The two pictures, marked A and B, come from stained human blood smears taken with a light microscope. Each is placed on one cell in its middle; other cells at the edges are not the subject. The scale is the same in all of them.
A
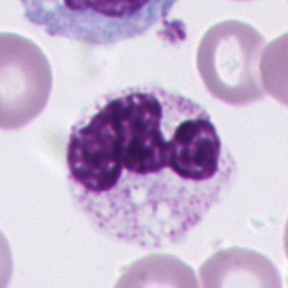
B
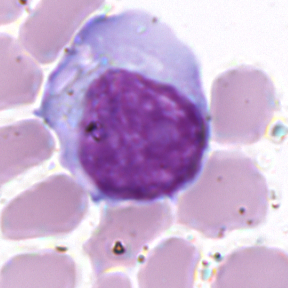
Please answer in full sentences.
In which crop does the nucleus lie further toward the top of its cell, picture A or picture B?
The nucleus in picture A lies further toward the top of its cell.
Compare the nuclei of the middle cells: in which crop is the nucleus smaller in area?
Picture A shows the smaller nucleus, since that in picture B covers about 1.5 times as much area.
